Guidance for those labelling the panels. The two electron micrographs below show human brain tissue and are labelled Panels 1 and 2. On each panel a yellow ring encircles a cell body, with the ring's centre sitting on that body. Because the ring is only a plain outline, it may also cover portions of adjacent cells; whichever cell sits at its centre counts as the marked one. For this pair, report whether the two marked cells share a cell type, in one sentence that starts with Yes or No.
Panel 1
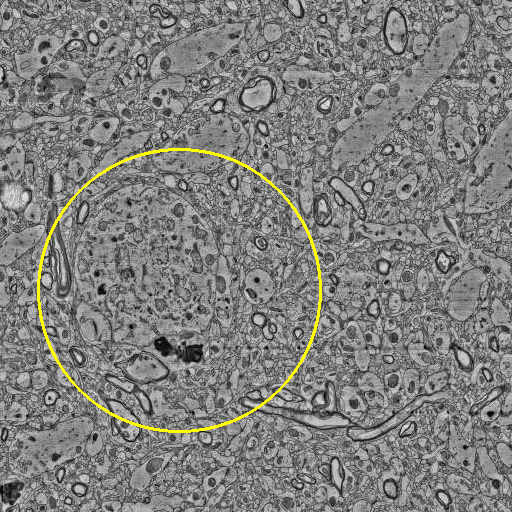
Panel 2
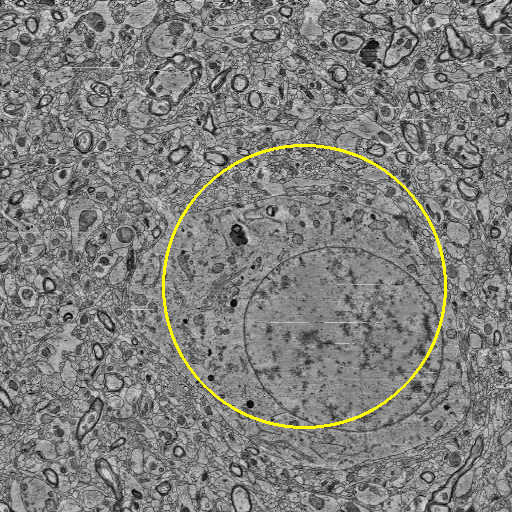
No, in Panel 1 and Panel 2 the marked cells at the ring centres are of two types.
